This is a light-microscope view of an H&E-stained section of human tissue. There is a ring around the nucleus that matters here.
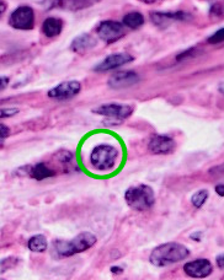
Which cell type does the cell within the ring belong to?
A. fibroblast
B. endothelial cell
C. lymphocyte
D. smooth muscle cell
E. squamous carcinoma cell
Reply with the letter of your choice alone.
C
